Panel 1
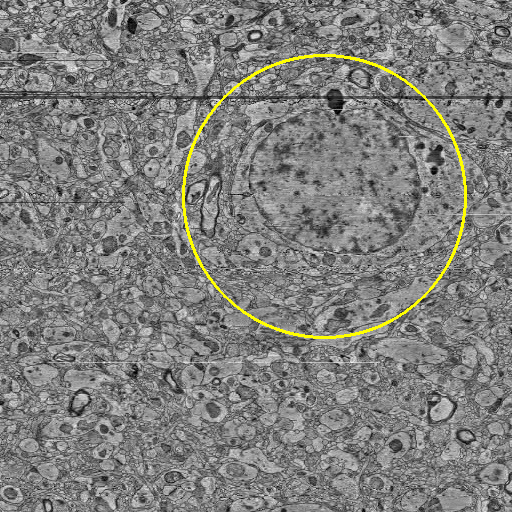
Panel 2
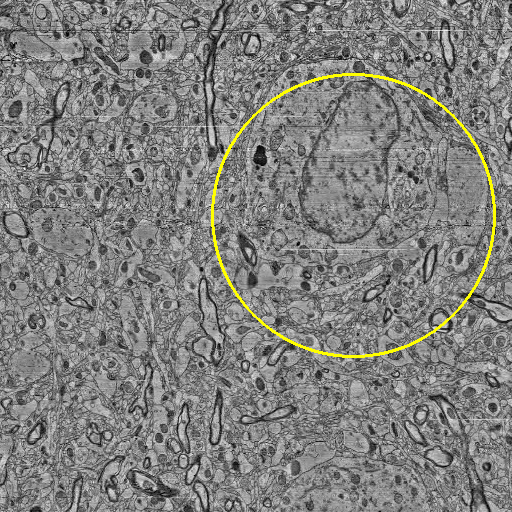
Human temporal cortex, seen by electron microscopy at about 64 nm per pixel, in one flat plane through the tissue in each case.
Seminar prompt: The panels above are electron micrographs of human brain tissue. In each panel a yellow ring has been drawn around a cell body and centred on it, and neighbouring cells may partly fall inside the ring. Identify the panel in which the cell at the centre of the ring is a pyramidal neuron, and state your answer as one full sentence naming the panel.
Panel 2 has it at the centre of its ring.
